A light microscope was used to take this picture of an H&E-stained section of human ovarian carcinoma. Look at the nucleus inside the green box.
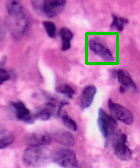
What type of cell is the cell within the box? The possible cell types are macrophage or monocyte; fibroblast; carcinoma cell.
macrophage or monocyte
